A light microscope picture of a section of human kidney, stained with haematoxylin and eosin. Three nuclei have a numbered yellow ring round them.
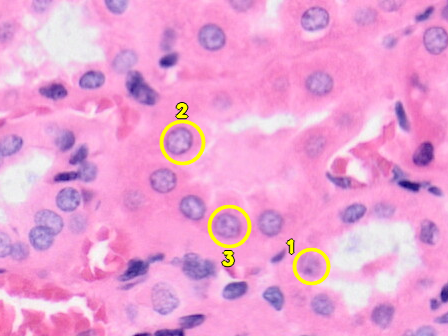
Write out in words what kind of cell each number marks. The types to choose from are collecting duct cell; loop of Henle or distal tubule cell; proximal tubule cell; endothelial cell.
Cell 1 is a loop of Henle or distal tubule cell, cell 2 is a proximal tubule cell and cell 3 is a proximal tubule cell.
